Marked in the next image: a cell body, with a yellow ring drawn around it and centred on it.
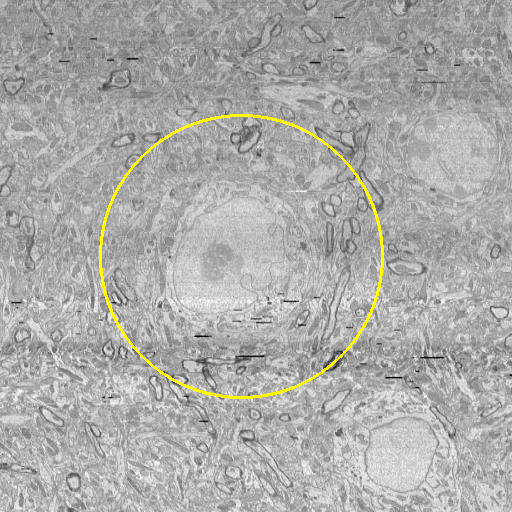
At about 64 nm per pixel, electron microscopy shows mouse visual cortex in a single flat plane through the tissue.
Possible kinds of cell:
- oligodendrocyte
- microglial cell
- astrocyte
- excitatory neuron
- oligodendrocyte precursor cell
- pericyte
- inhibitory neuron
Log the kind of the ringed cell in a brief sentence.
The ringed cell body is that of an inhibitory neuron.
